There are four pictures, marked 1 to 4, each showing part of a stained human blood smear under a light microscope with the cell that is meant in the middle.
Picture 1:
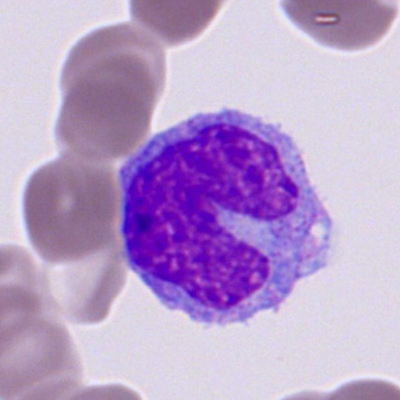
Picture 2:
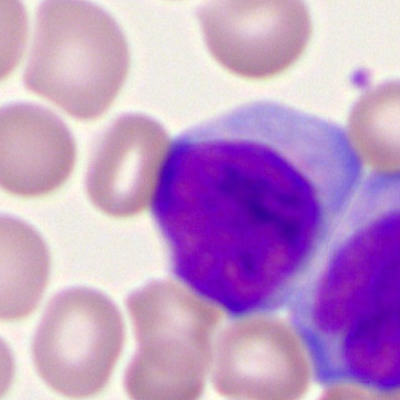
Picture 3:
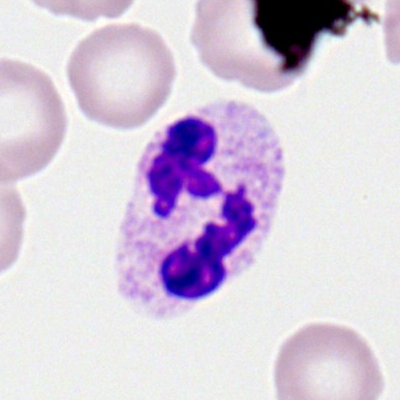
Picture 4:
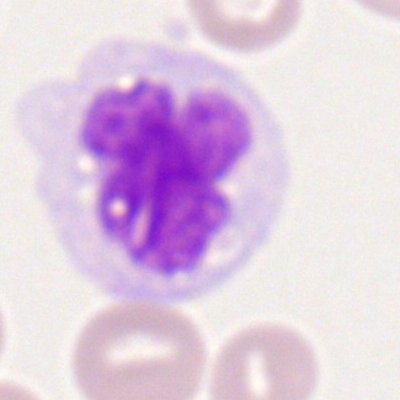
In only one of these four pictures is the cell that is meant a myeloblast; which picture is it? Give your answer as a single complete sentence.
Picture 2 shows the myeloblast.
